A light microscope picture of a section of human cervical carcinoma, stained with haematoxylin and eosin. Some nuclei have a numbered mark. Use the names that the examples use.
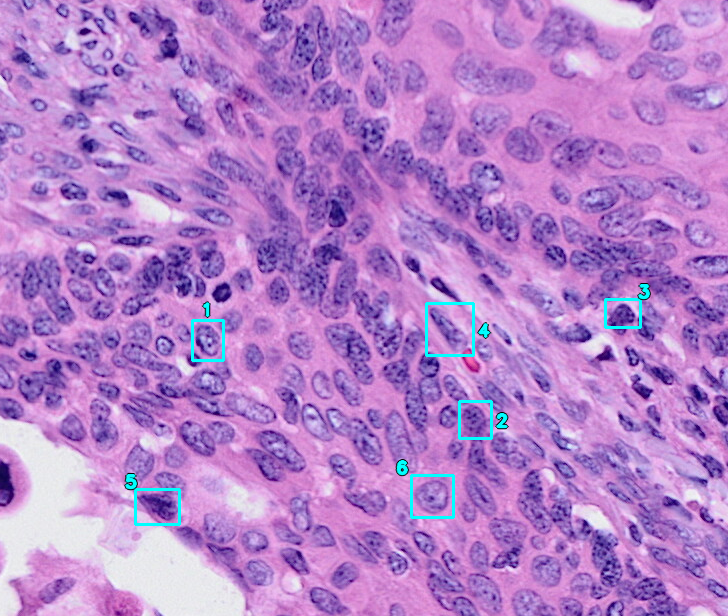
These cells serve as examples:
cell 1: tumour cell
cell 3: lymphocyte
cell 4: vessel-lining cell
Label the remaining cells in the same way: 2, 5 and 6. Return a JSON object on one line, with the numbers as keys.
{"2": "tumour cell", "5": "tumour cell", "6": "tumour cell"}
